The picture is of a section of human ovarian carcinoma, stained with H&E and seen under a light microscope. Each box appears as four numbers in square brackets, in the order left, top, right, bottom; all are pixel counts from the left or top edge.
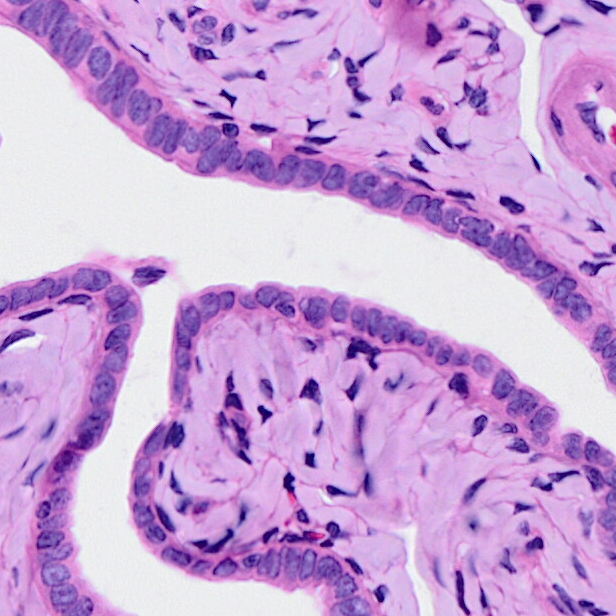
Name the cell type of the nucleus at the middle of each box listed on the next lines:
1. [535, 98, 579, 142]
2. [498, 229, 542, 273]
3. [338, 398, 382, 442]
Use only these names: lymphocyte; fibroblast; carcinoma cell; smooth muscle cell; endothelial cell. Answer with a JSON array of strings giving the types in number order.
["smooth muscle cell", "carcinoma cell", "endothelial cell"]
